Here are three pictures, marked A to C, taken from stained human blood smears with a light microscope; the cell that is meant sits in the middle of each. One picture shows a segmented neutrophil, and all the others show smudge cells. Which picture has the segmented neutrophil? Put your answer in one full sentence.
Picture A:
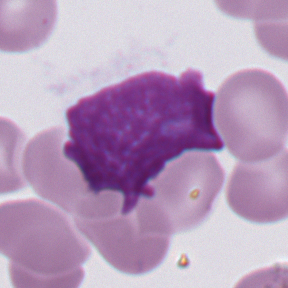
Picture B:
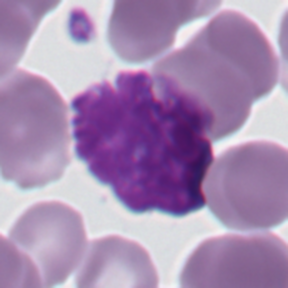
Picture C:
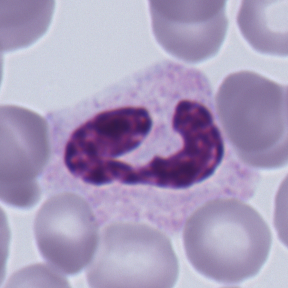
It is picture C that shows the segmented neutrophil.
